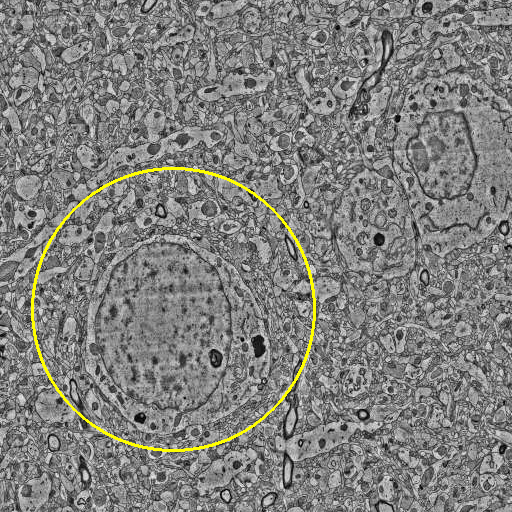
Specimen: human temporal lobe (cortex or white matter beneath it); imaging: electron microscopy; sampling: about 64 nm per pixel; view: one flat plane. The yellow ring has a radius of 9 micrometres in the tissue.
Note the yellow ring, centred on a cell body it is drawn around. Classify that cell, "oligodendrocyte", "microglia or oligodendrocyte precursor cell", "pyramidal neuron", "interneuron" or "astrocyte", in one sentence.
The cell the ring is centred on is an interneuron.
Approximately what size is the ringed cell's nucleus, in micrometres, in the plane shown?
The nucleus is approximately 11 micrometers long by 9 micrometers wide in this plane.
